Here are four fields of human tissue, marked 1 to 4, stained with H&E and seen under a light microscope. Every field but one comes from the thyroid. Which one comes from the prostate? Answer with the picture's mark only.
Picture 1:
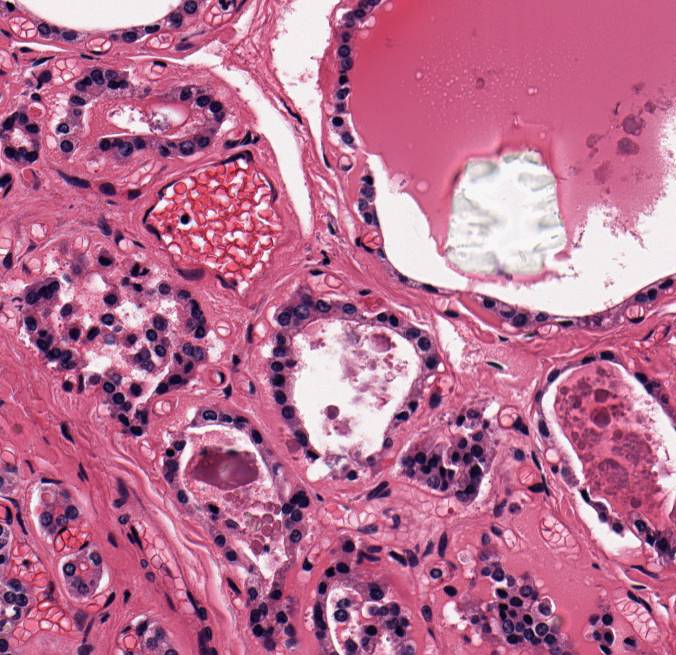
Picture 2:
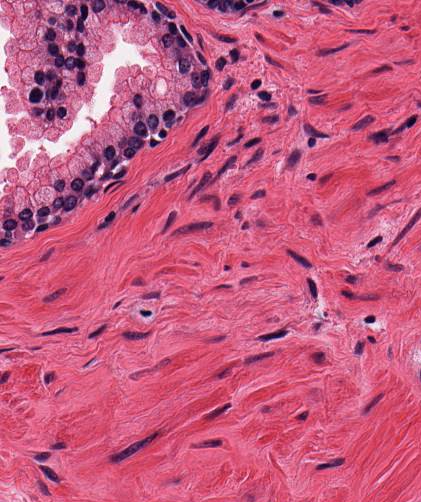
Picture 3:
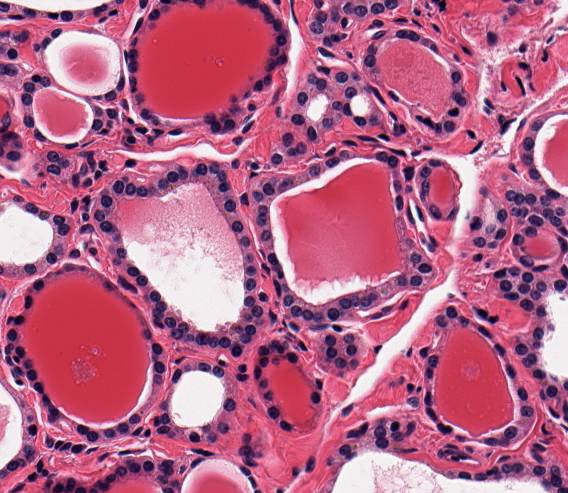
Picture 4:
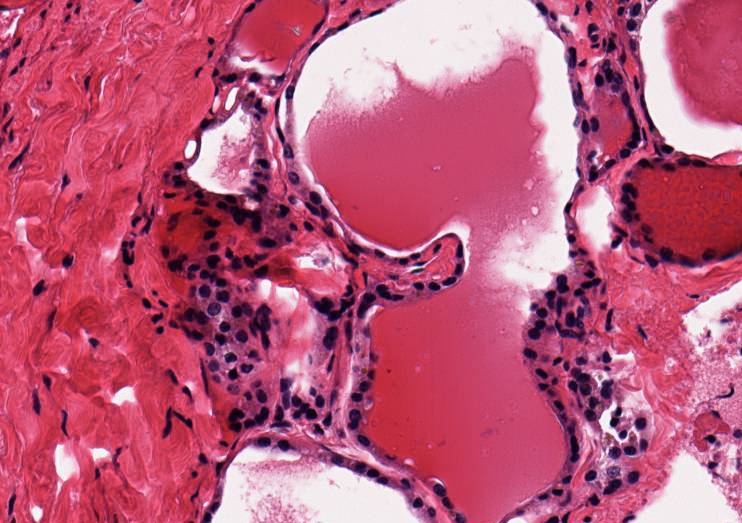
2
